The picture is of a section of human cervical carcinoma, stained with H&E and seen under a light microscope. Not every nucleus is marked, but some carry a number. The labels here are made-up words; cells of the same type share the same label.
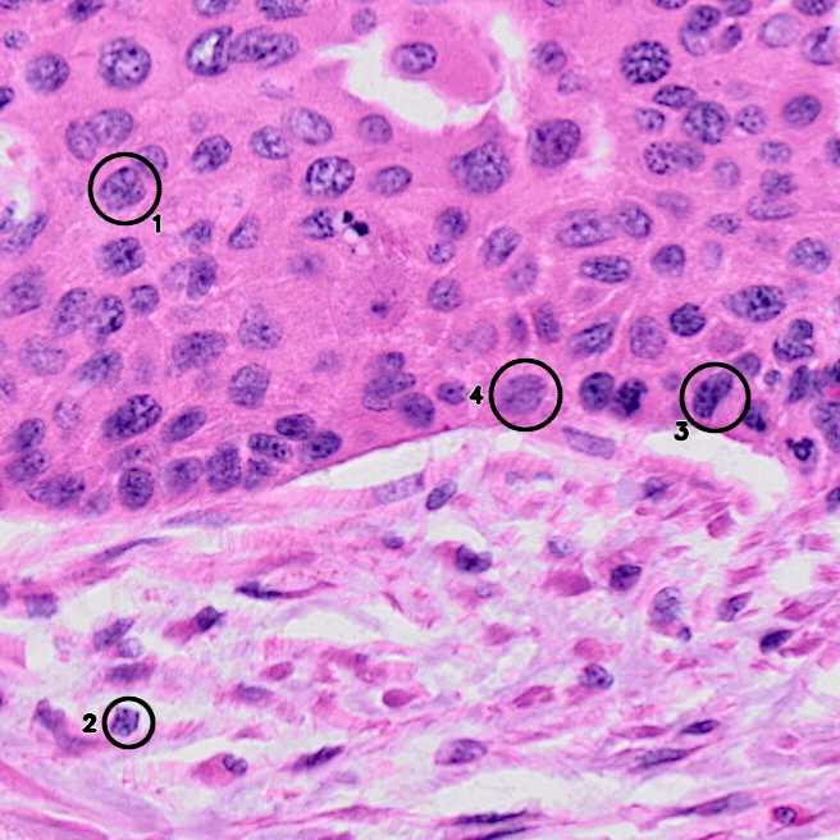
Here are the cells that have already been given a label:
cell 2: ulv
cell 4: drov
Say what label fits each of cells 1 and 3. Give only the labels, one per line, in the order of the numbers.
drov
drov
